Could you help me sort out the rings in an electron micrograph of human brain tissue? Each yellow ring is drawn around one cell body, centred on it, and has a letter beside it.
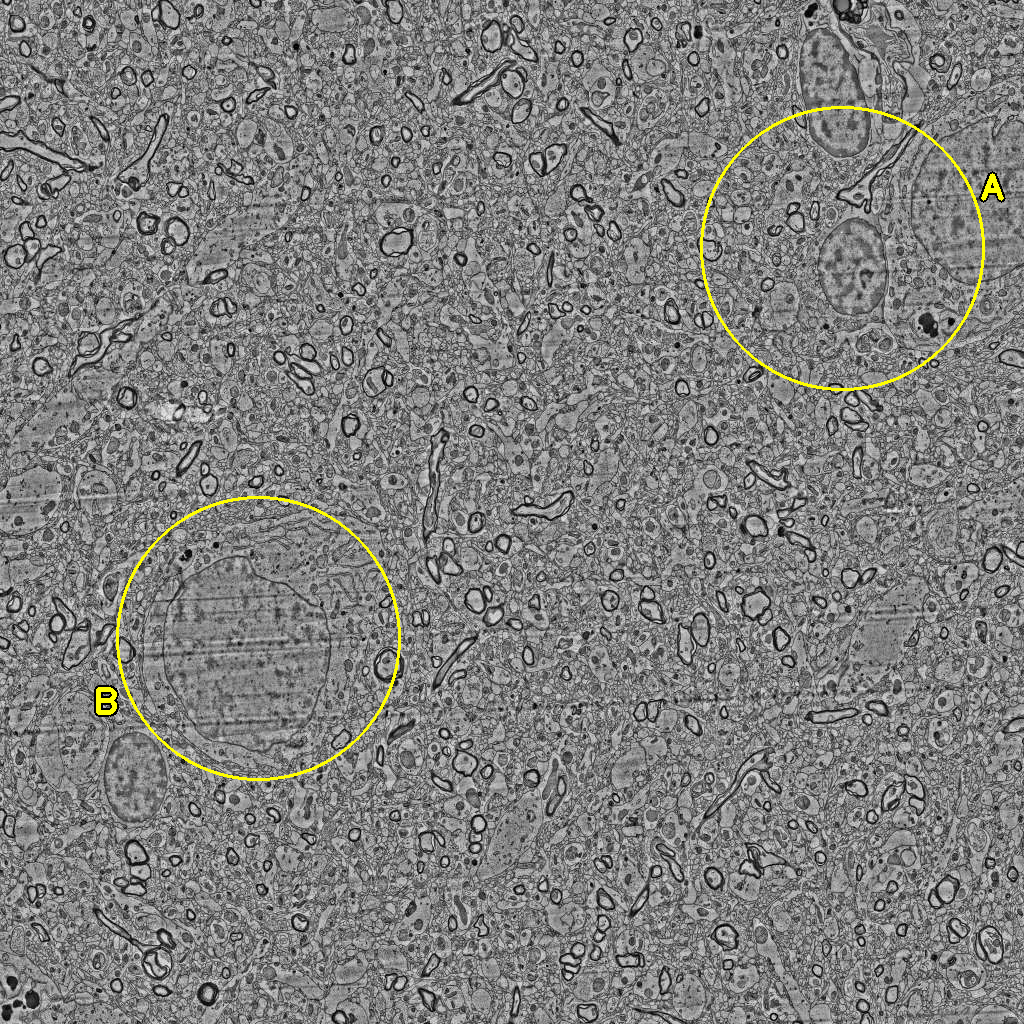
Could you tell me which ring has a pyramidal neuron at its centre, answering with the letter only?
B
